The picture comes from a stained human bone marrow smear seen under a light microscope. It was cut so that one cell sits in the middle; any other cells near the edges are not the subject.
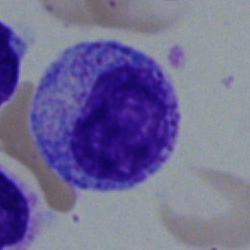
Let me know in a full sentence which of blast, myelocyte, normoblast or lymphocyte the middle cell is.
The centrally positioned cell in the crop represents a myelocyte.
